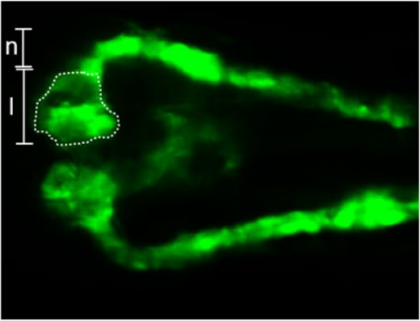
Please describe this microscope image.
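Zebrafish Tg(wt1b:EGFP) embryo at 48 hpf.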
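This shows a zebrafish embryonic kidney, the pronephros, in green fluorescence. At the front, near the midline, lie the glomeruli. The neck connects the glomerulus to the tube, which runs backwards with brighter, thicker stretches. Fainter, diffuse green lies between the tubes. The organ is seen only in outline; single cells are not resolved.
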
